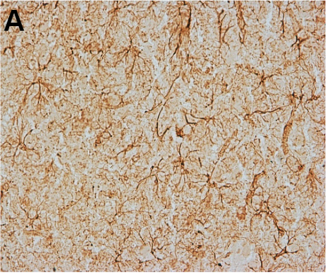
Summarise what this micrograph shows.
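Brain tissue with astrocytes of a quiescent appearance, stained brown, scattered evenly across a pale background. Each cell has a small body from which thin, finely branching processes radiate in a star-like pattern, and neighbouring cells hardly overlap.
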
